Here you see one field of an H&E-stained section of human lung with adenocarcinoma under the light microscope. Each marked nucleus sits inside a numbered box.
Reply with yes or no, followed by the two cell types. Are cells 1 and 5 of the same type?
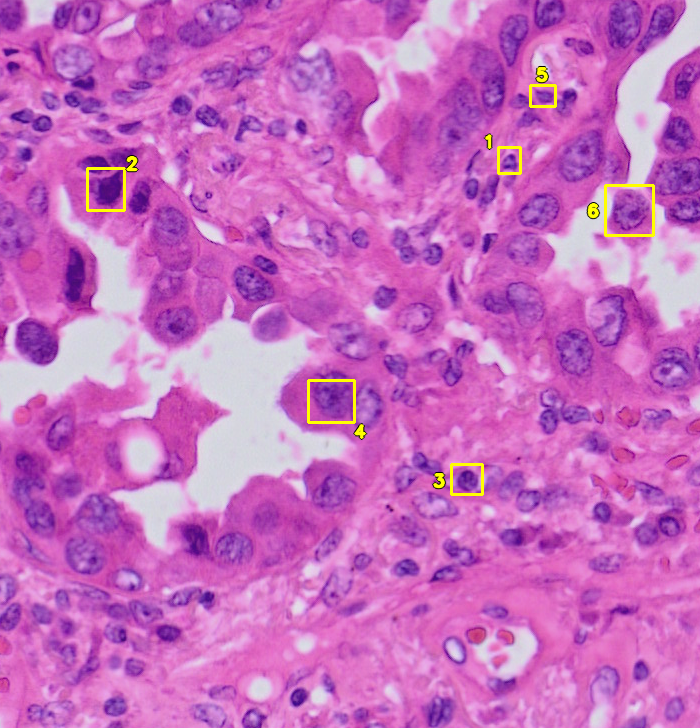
Yes, each of the two cells, 1 and 5, is among the lymphocytes.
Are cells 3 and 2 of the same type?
No, that is not right: cell 3 is a lymphocyte and cell 2 is a carcinoma cell.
